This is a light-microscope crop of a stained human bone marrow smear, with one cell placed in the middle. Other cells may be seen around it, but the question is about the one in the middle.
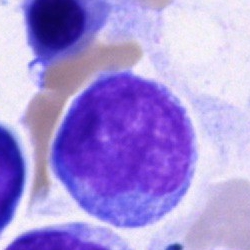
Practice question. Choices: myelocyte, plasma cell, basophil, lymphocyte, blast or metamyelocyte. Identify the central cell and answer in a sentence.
Regarding the central cell, it is a blast.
